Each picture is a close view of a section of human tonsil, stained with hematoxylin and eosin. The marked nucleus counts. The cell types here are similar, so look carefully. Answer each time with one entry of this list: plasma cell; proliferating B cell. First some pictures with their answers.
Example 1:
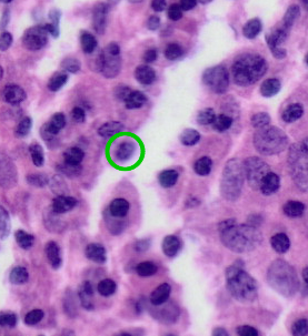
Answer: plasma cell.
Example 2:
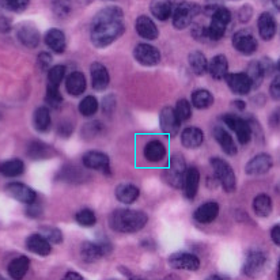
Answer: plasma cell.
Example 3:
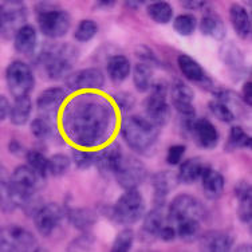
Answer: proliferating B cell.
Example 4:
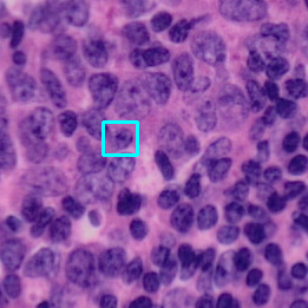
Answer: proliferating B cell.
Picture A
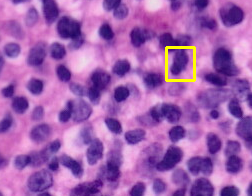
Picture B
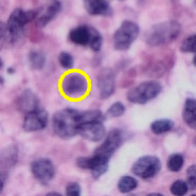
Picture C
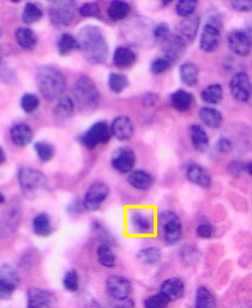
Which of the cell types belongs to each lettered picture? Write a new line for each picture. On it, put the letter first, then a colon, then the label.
A: proliferating B cell.
B: proliferating B cell.
C: plasma cell.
